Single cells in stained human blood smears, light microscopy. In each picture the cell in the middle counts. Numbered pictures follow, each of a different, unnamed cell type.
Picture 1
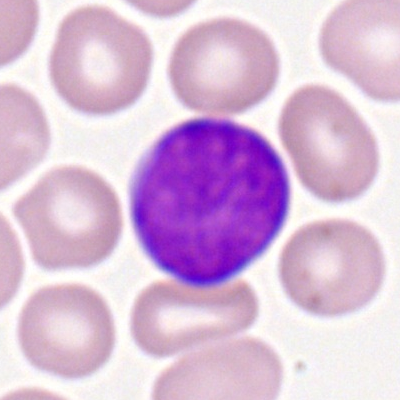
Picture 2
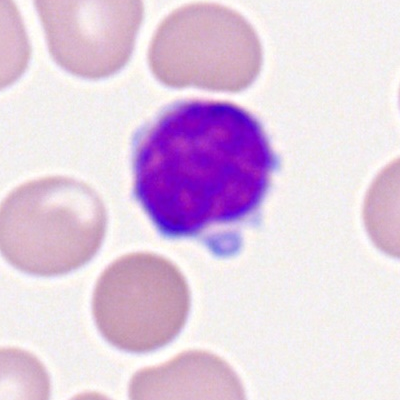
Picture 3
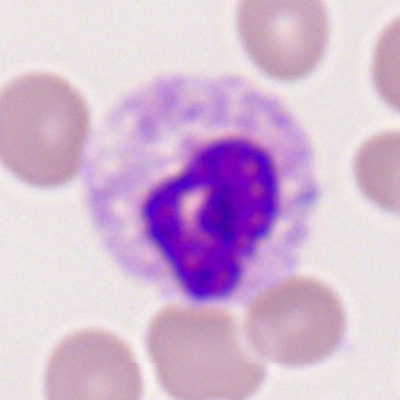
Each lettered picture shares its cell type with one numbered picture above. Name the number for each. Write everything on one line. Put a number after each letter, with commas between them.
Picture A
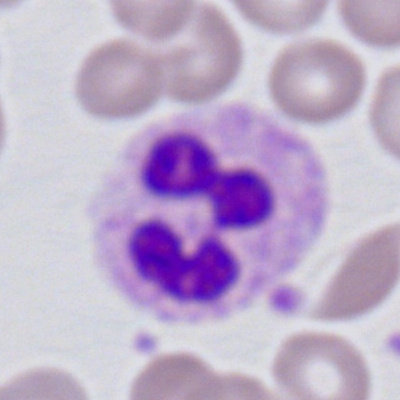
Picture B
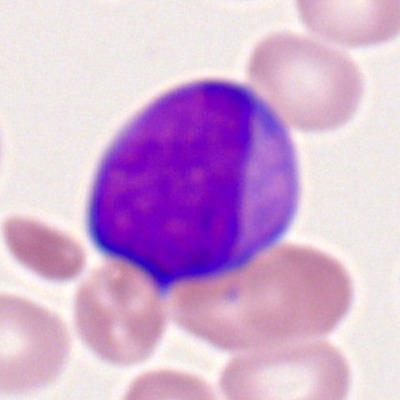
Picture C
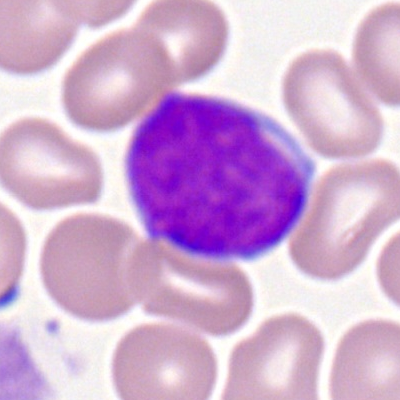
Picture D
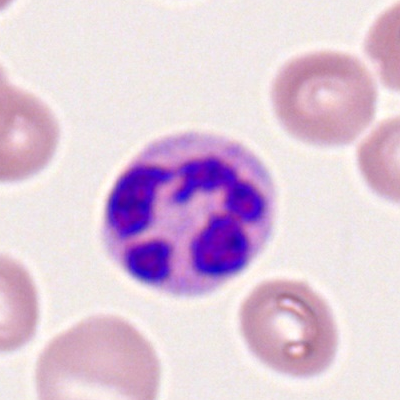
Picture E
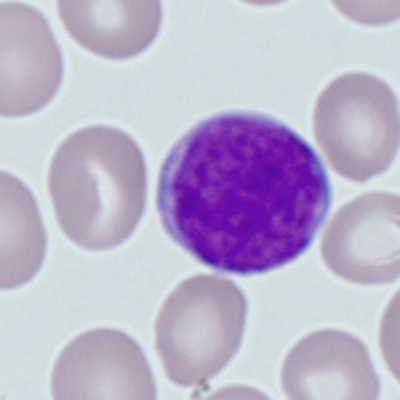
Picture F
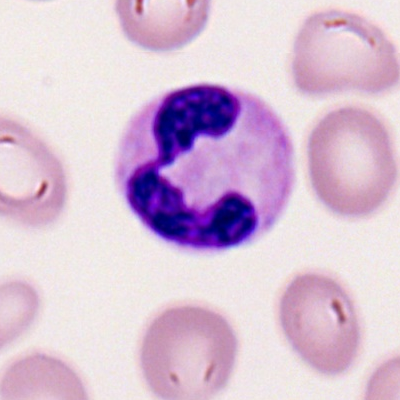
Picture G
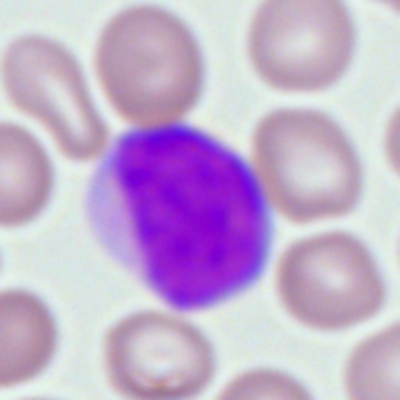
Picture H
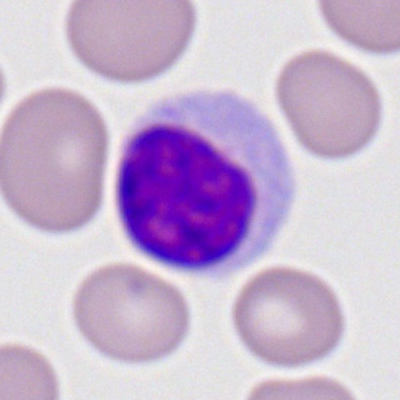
A 3, B 1, C 1, D 3, E 1, F 3, G 1, H 2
